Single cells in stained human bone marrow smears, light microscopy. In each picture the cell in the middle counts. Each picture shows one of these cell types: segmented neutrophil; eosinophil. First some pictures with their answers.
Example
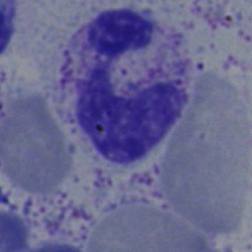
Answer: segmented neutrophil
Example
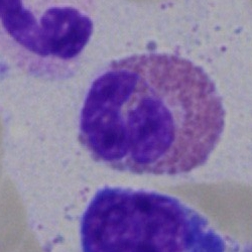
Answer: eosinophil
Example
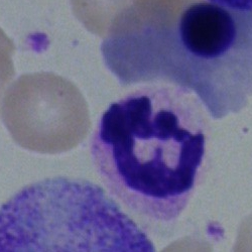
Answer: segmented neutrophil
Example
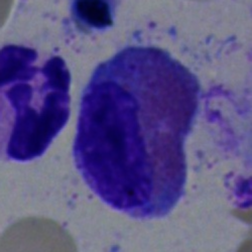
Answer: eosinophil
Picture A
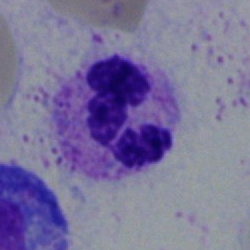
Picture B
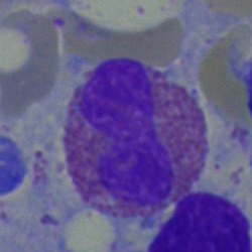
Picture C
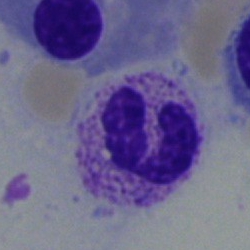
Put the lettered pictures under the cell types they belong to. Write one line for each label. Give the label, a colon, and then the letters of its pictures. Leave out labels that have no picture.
segmented neutrophil: A, C
eosinophil: B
